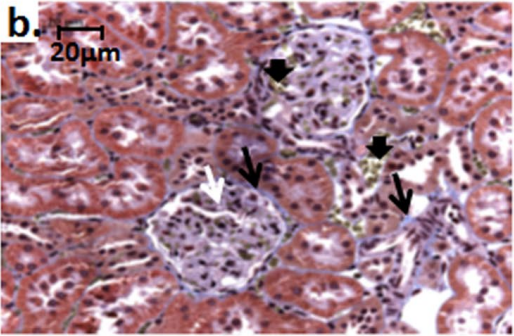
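Renal cortex is shown with two glomeruli among convoluted tubules whose cytoplasm stains pale red and whose nuclei are dark. Blue-stained material outlines the glomeruli and lies in the interstitium between tubules. Small yellow deposits sit in interstitial spaces near the glomeruli. Arrows of several kinds point to the blue and yellow material.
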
